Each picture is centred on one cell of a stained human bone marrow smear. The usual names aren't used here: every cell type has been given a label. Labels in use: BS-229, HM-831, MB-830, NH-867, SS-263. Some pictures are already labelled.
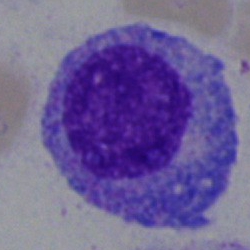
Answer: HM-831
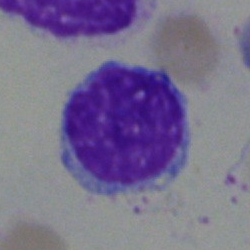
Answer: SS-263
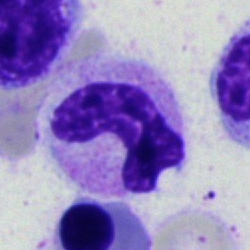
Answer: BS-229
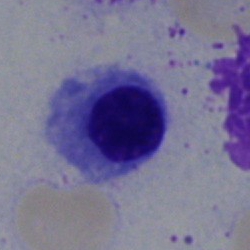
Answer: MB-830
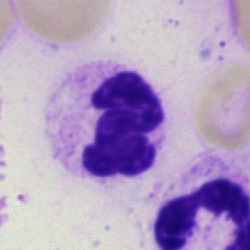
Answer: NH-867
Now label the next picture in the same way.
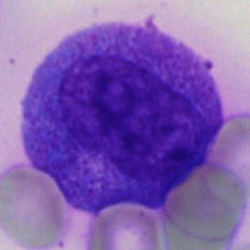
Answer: HM-831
